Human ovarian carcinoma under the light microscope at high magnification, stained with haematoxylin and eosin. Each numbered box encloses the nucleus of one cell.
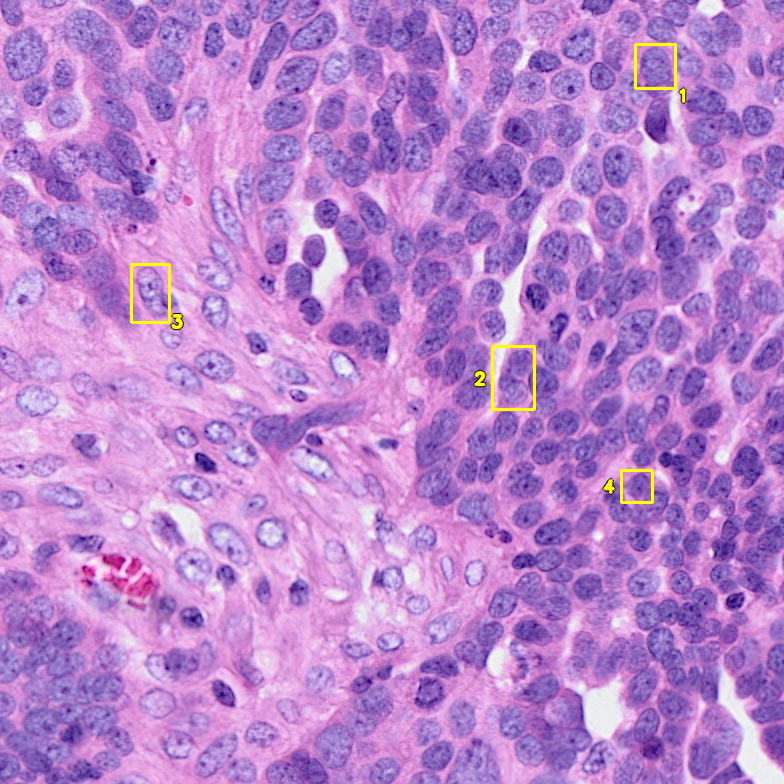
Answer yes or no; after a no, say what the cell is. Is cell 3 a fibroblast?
Yes.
